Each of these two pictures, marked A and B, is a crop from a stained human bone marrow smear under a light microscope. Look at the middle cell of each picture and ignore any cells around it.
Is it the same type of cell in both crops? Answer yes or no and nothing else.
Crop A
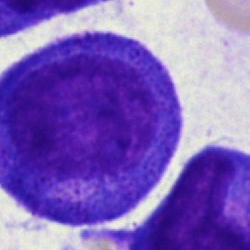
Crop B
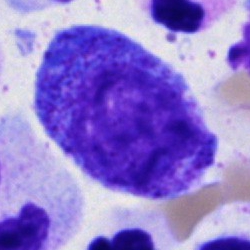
yes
